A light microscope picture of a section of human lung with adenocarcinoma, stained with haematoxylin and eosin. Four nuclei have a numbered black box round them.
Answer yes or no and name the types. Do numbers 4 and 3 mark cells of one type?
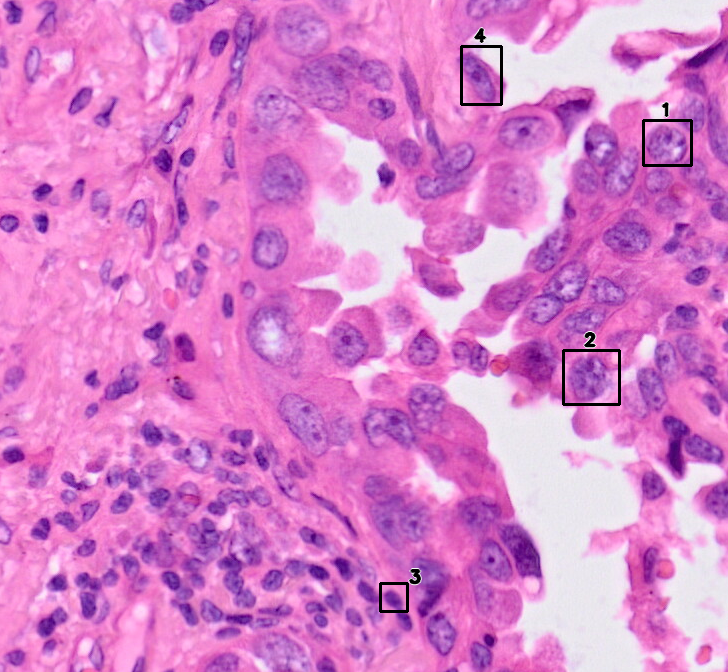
No, cell 4 is classed as a carcinoma cell and cell 3 as a lymphocyte.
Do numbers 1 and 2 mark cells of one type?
Yes, cells number 1 and number 2 are both carcinoma cells.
